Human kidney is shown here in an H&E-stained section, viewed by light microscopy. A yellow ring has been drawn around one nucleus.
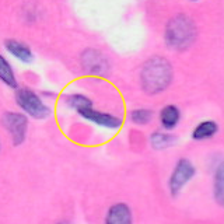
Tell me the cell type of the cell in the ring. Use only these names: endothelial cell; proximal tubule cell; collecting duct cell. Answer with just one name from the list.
endothelial cell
